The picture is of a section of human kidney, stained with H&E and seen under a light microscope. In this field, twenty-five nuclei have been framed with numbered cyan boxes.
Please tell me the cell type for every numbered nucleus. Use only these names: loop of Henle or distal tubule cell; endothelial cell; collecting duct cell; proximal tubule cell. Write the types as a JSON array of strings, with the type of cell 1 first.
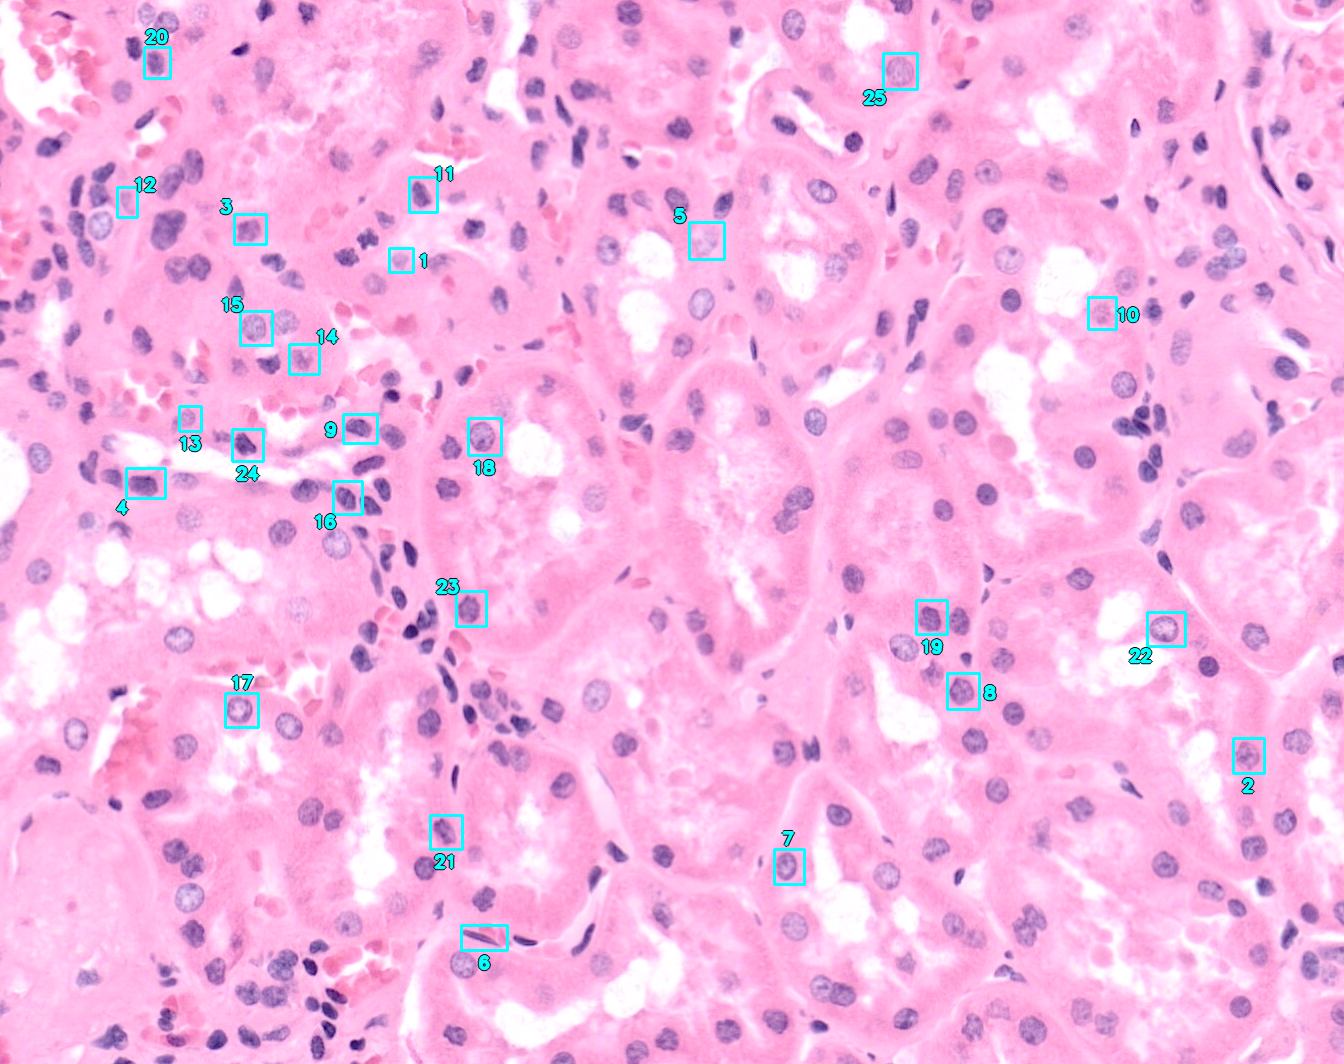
["loop of Henle or distal tubule cell", "proximal tubule cell", "proximal tubule cell", "collecting duct cell", "proximal tubule cell", "endothelial cell", "proximal tubule cell", "proximal tubule cell", "collecting duct cell", "proximal tubule cell", "loop of Henle or distal tubule cell", "collecting duct cell", "collecting duct cell", "loop of Henle or distal tubule cell", "loop of Henle or distal tubule cell", "collecting duct cell", "proximal tubule cell", "proximal tubule cell", "proximal tubule cell", "loop of Henle or distal tubule cell", "proximal tubule cell", "proximal tubule cell", "proximal tubule cell", "collecting duct cell", "proximal tubule cell"]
